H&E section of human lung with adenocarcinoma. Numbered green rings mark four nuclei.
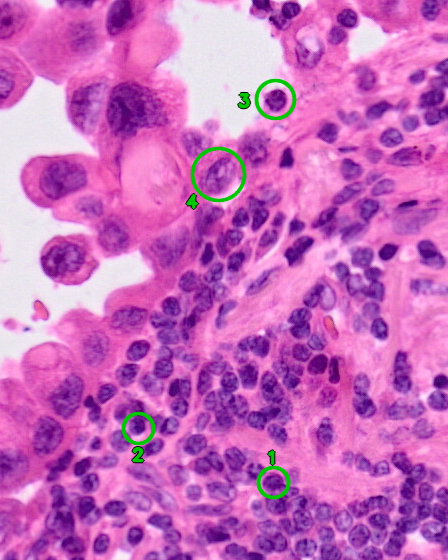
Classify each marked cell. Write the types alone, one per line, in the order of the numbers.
lymphocyte
lymphocyte
lymphocyte
carcinoma cell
